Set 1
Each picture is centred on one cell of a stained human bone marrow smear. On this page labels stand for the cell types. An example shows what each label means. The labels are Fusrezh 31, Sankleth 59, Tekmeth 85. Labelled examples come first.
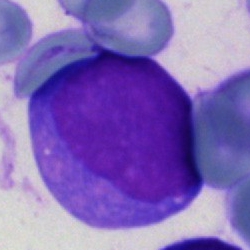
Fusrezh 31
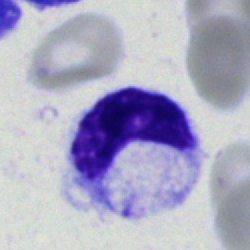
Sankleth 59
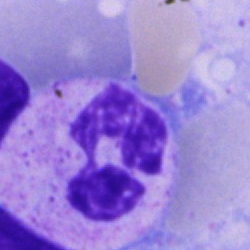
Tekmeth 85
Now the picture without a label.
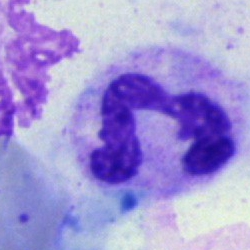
Tekmeth 85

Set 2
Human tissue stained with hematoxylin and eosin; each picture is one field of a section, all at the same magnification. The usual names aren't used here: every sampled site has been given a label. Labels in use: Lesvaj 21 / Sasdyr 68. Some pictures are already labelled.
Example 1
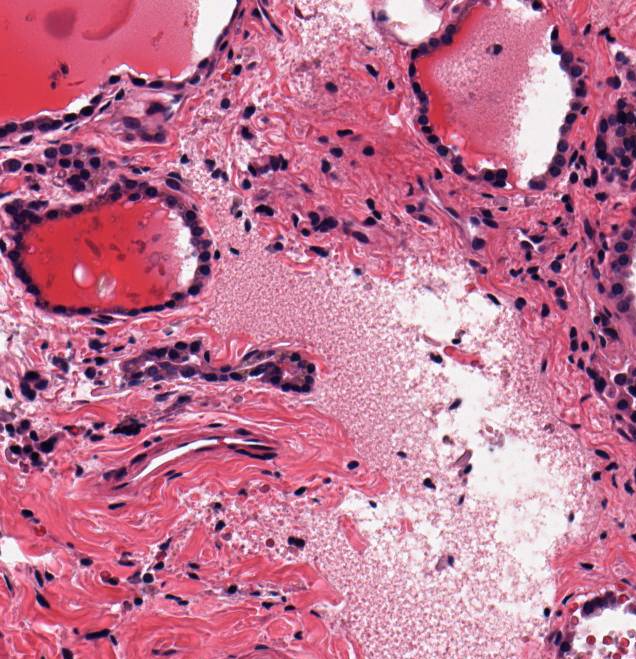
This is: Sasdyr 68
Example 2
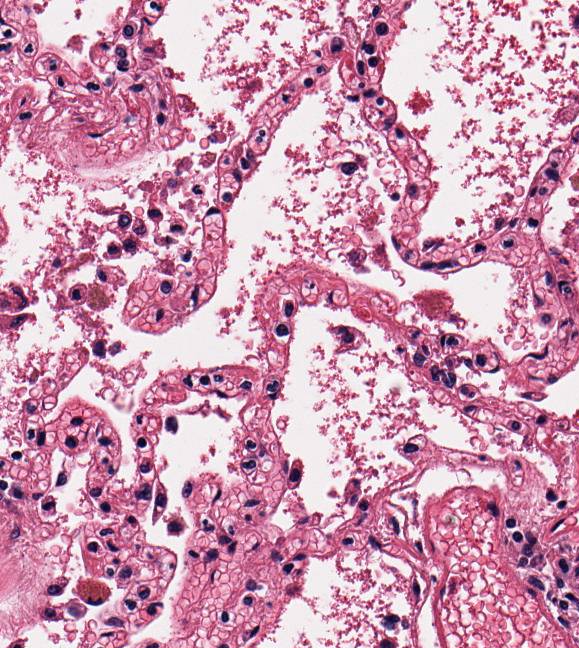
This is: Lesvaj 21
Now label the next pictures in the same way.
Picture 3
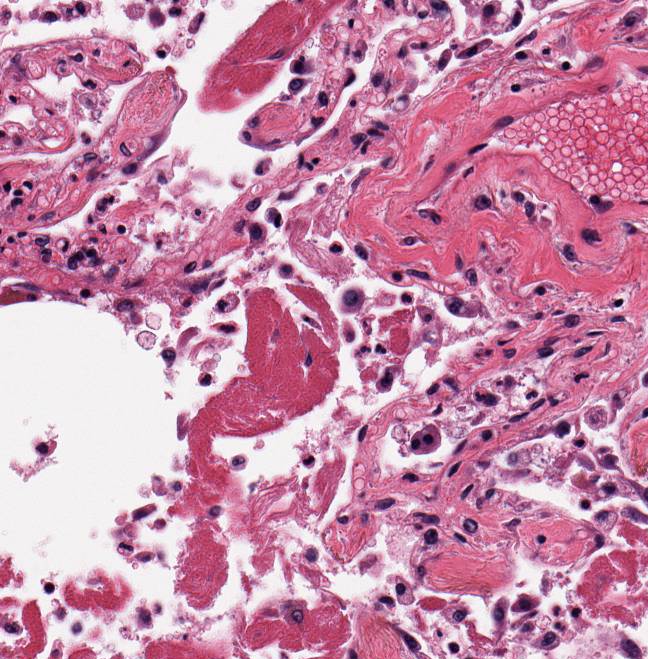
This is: Lesvaj 21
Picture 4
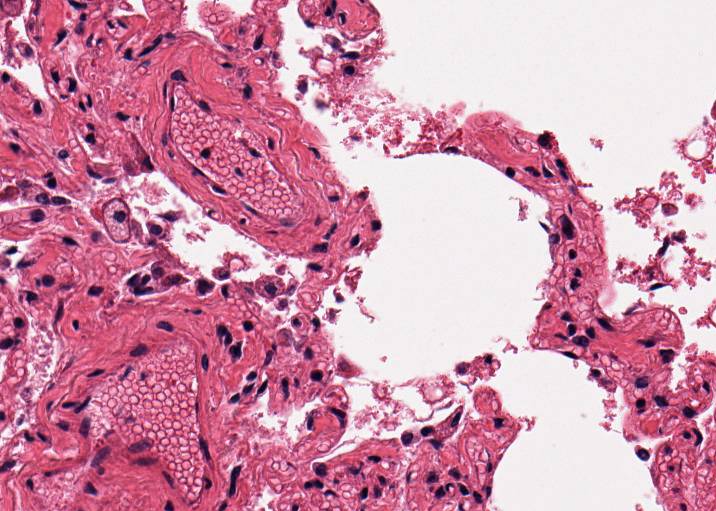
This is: Lesvaj 21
